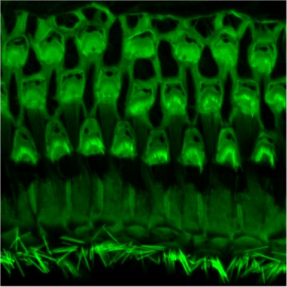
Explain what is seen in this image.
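Seen from above, the sensory epithelium of the cochlea shows hair cell bundles outlined in bright green. Three orderly rows of V- or W-shaped bundles fill the upper part of the field, each sitting on a rounded cell surface framed by green cell borders; these are the outer hair cells. Lower down, a single row of straighter, brushlike bundles runs across the field, the inner hair cells. The rows are regular and continuous, with no gaps where a bundle is missing, so the hair cells appear intact and well arranged.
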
